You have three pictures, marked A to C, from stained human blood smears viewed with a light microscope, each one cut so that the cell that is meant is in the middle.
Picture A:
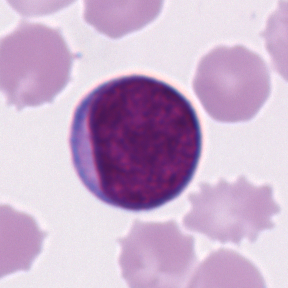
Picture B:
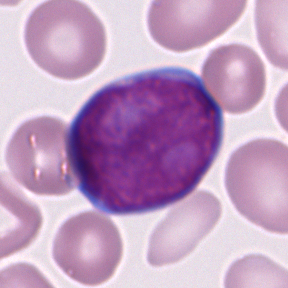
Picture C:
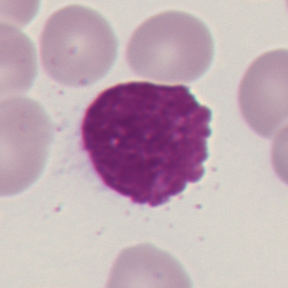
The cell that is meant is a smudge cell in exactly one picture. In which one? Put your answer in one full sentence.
Picture C shows the smudge cell.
